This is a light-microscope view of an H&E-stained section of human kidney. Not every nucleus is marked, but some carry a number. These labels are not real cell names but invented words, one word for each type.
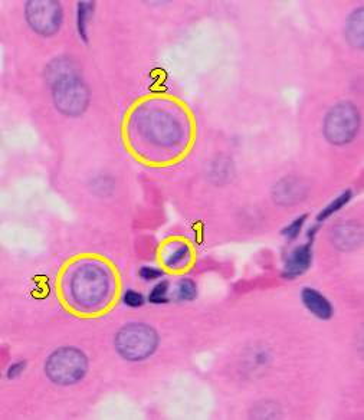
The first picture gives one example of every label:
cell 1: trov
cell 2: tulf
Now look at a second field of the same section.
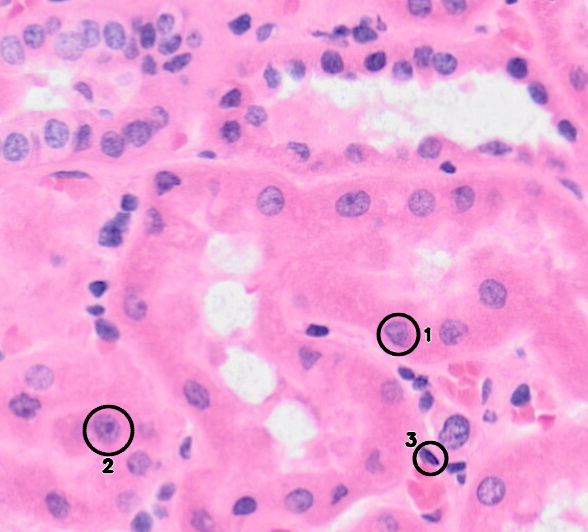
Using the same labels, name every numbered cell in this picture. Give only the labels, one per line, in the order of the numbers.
tulf
tulf
trov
